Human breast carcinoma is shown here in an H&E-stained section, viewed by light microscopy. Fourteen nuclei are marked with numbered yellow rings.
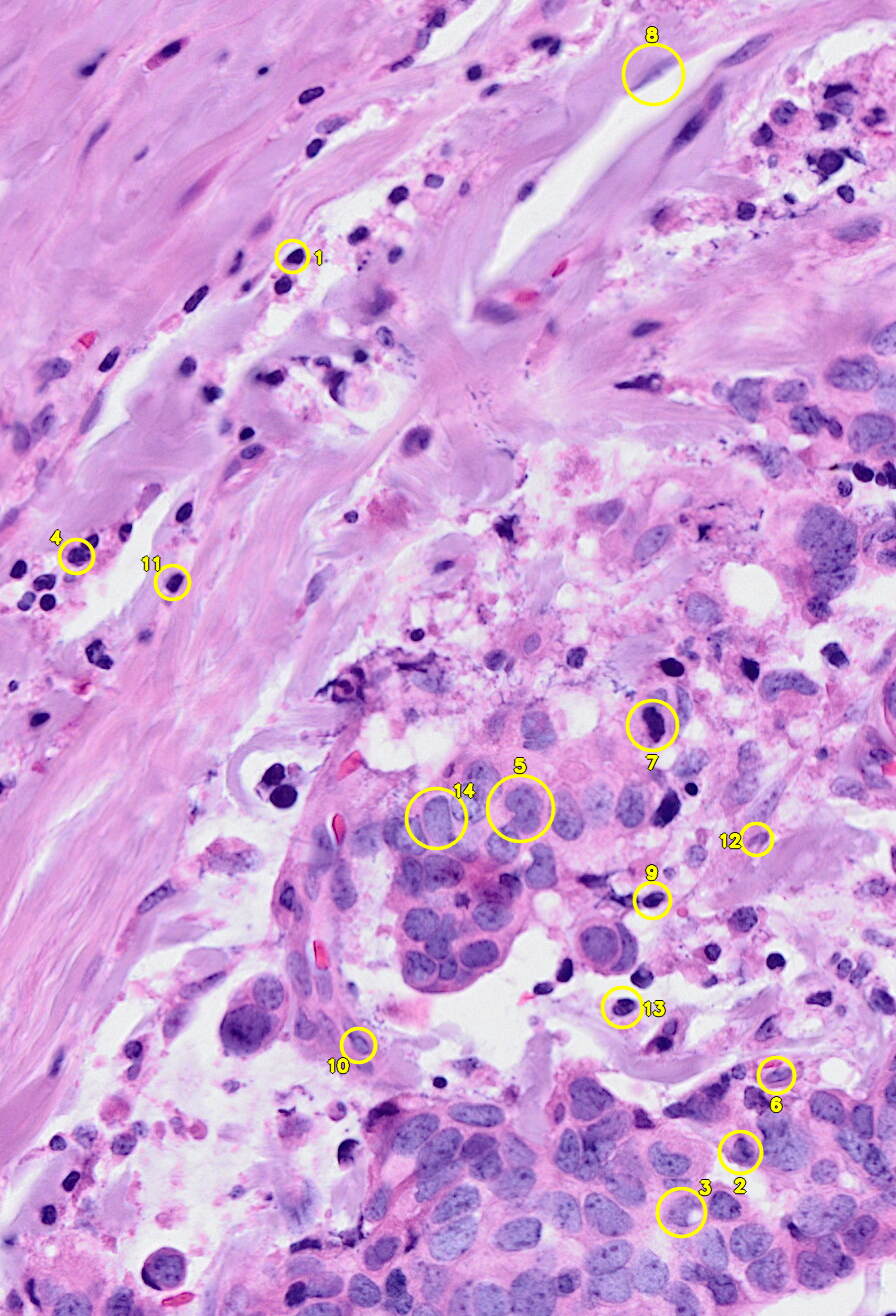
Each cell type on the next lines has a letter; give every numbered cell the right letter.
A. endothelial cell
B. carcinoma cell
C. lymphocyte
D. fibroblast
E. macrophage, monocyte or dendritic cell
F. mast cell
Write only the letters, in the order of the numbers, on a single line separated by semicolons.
C; B; B; C; B; A; B; D; C; A; C; D; C; B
